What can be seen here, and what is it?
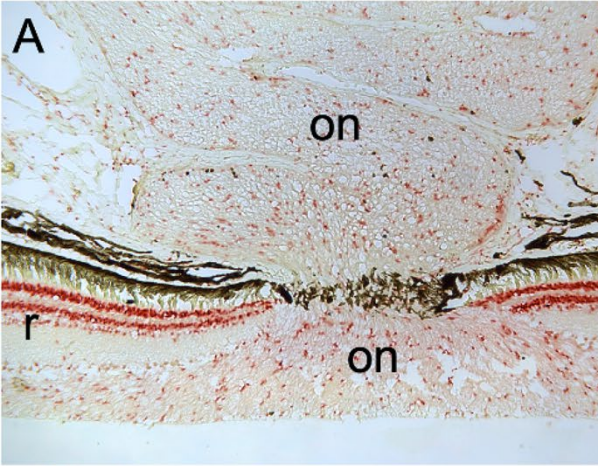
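This lower-magnification section shows the retina where the optic nerve leaves the eye. On both sides the retina runs as layered bands, with a dark brown pigmented layer above and two parallel rows of red-stained nuclei below it. Toward the centre these layers thin and are interrupted by a clump of dark pigment where nerve fibres converge. Above, the optic nerve appears as a large rounded bundle of pale fibrous tissue with many small, scattered red-stained nuclei, and similar scattered nuclei lie in the fibre-rich tissue beneath the retina at the centre.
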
